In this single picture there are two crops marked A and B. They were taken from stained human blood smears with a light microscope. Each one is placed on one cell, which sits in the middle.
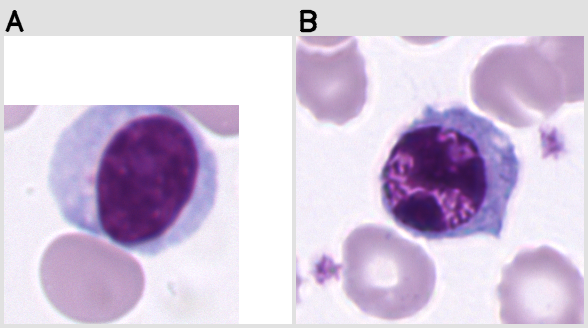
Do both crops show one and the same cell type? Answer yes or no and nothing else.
no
